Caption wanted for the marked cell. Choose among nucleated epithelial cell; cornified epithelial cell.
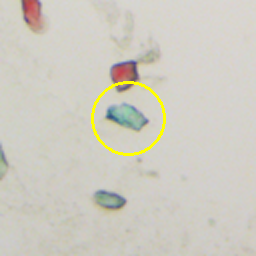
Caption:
Ringed in yellow is a cornified epithelial cell.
